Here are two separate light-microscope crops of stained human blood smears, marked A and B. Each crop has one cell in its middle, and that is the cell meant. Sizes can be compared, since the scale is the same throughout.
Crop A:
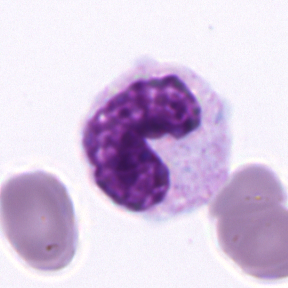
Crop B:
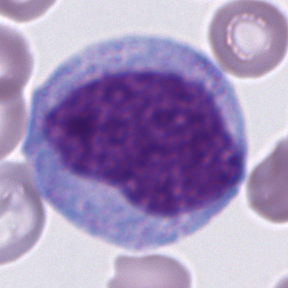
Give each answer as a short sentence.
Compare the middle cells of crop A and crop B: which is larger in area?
Larger is the cell in crop B, at roughly 2 times the area of the other.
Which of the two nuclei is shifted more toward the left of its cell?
In crop A the nucleus is shifted more toward the left.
